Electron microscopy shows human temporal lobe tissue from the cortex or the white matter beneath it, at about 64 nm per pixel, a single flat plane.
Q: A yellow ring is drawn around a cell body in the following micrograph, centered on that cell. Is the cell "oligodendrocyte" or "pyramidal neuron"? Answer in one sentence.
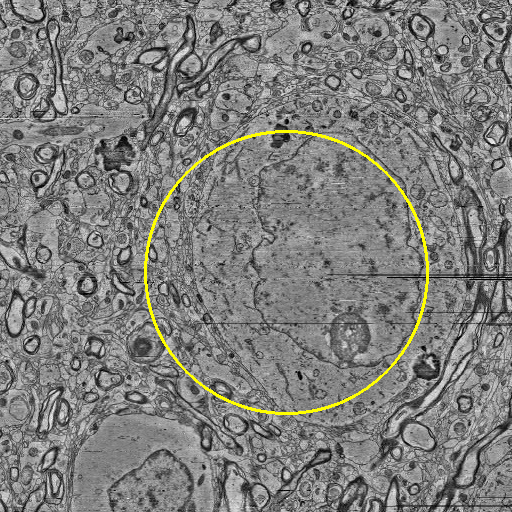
The cell in the center of the ring is a pyramidal neuron.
